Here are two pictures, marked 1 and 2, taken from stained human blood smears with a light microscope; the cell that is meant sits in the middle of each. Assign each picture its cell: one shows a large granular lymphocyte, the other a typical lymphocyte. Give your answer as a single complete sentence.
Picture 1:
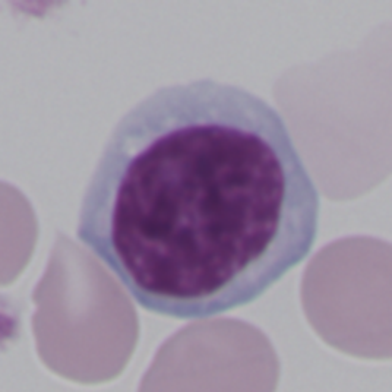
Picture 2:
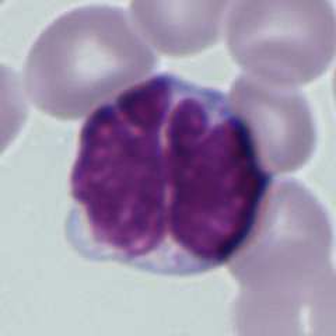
Picture 1 is of a typical lymphocyte, and picture 2 is of a large granular lymphocyte.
